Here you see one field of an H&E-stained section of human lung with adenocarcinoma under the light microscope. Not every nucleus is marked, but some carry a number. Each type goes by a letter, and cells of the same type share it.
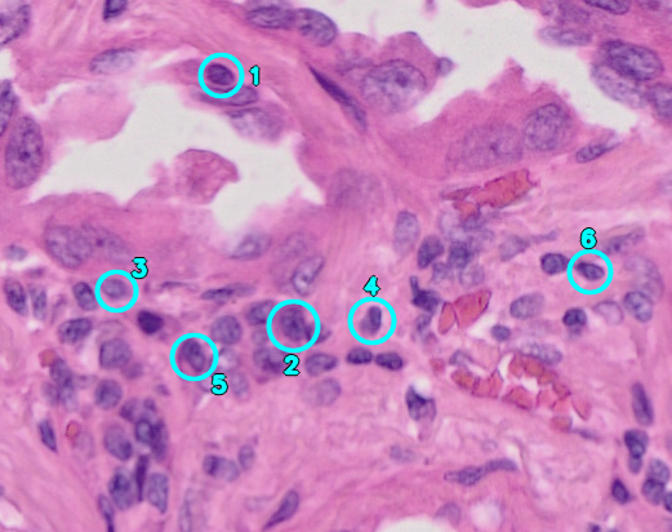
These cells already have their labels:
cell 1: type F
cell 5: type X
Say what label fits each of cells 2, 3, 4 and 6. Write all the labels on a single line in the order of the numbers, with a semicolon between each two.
type X; type F; type F; type F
